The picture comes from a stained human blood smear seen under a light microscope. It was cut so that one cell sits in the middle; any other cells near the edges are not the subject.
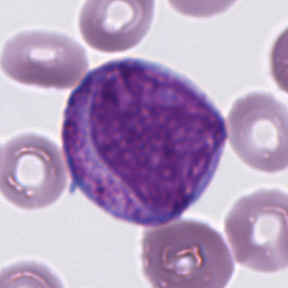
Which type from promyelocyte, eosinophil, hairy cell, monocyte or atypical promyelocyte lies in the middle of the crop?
atypical promyelocyte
